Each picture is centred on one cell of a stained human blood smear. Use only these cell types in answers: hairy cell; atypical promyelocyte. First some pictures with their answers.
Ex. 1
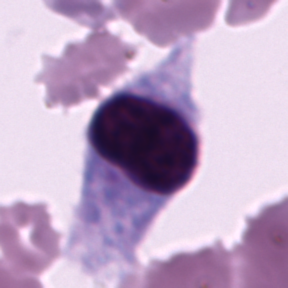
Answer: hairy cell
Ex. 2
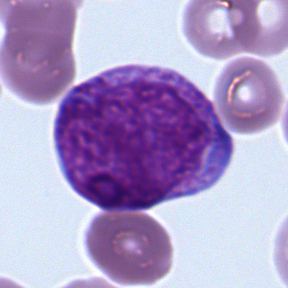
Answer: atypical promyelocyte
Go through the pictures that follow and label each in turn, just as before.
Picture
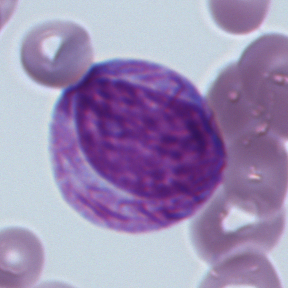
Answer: atypical promyelocyte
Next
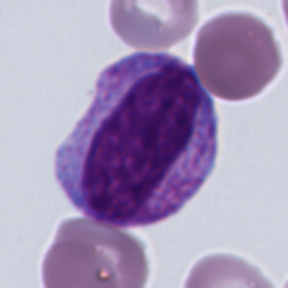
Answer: atypical promyelocyte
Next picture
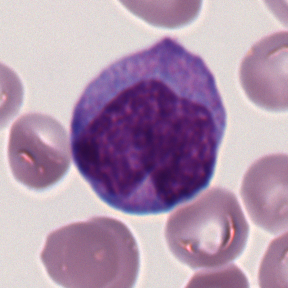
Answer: atypical promyelocyte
